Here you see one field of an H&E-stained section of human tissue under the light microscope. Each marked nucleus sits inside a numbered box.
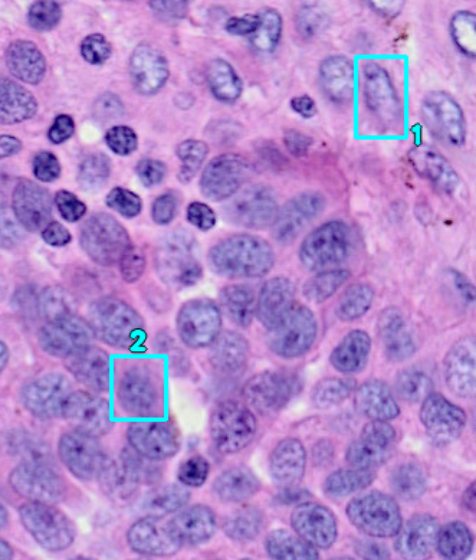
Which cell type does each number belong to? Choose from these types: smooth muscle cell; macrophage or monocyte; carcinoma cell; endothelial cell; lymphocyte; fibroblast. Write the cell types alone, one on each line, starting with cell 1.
fibroblast
carcinoma cell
